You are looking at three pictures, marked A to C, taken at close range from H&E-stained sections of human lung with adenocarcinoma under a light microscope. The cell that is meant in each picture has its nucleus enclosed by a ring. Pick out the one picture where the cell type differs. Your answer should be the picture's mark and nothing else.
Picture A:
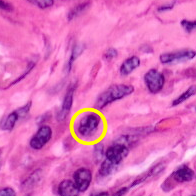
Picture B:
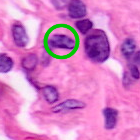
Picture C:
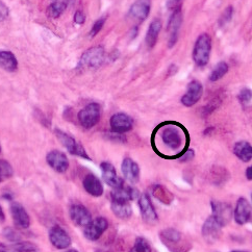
B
